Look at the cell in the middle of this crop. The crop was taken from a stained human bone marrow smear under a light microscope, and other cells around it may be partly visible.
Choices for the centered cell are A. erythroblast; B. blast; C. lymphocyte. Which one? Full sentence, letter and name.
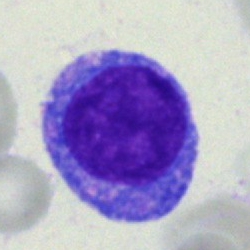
In this crop the middle cell is a blast, so option B is the correct answer.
